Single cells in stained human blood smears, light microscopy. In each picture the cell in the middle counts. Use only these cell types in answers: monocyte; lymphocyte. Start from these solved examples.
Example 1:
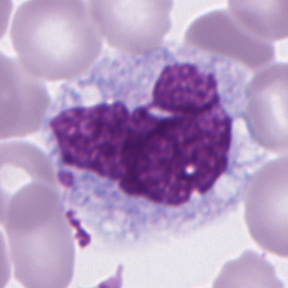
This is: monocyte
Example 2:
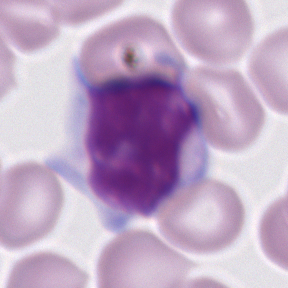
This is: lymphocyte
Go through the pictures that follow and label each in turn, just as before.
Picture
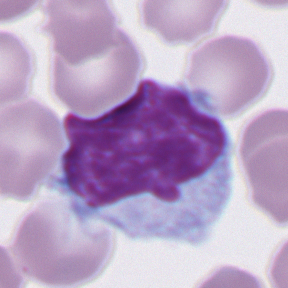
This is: monocyte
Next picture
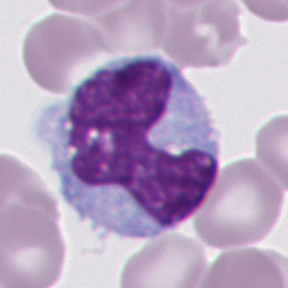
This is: monocyte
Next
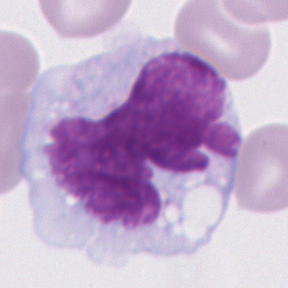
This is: monocyte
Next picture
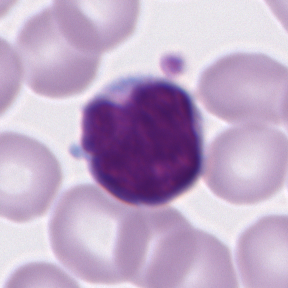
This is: lymphocyte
